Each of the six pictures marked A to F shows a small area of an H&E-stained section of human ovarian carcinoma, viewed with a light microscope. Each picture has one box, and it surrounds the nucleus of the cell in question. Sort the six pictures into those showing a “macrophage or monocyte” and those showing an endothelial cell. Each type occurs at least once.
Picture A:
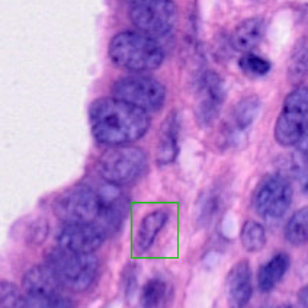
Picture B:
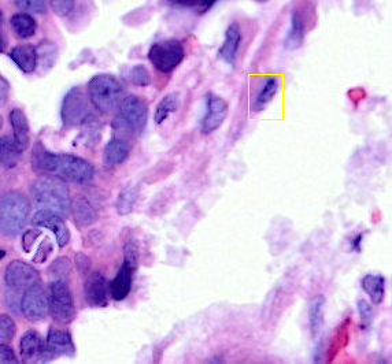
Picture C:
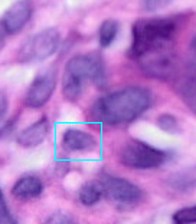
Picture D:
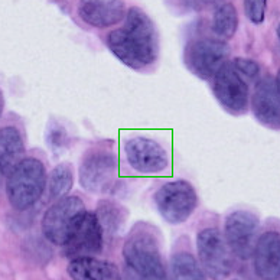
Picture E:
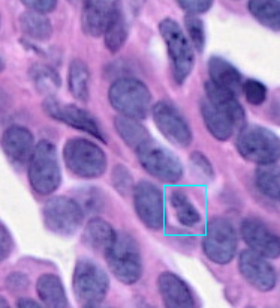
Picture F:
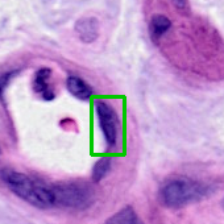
A: macrophage or monocyte
B: endothelial cell
C: macrophage or monocyte
D: macrophage or monocyte
E: macrophage or monocyte
F: endothelial cell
